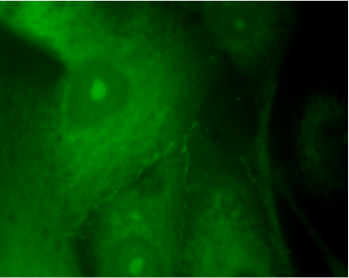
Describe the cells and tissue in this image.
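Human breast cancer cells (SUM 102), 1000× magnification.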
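Green fluorescence is diffuse across the cytoplasm, with a faint fibrillar texture. Each cell has an oval nucleus containing a brighter green spot.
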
